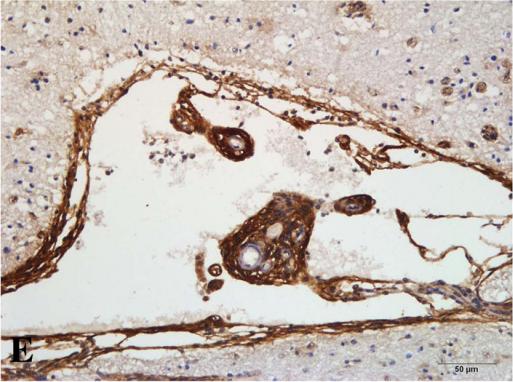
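The picture shows brain tissue with a large clear cystic space whose walls, and the cuffs of perivascular spindle cells around small vessels within it, are stained dark brown. The surrounding neuropil is pale with blue nuclei, and the brown cuffs form concentric rings around the vessel lumens.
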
